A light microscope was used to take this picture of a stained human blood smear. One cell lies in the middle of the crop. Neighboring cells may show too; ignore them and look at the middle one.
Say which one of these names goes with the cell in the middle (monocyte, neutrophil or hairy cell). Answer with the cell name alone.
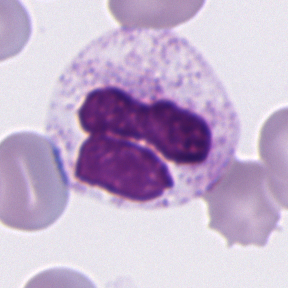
neutrophil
